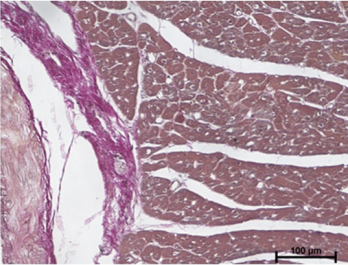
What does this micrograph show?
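This is heart muscle, the myocardium, with brown-stained muscle fibres mostly cut across, appearing as packed polygonal profiles grouped into bundles separated by pale clefts. At the left edge a broad band of dense pink-purple collagen fibres runs vertically, bordering a pale, faintly fibrous area further left. Fine pink-purple strands extend from this band between the muscle bundles. Within the bundles the muscle profiles are closely packed, with occasional small dark nuclei, and only thin fibrous tissue lies between individual fibres.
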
